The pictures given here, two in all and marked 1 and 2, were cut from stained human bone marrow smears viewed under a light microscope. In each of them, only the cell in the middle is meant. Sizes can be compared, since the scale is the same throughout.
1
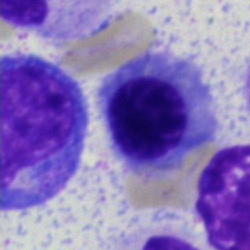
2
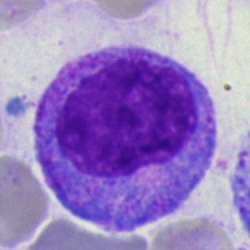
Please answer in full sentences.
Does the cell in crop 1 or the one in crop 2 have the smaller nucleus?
The nucleus in crop 1 is smaller; the one in crop 2 has about 2.5 times its area.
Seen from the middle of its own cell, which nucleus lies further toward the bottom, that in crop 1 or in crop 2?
Seen within its cell, the nucleus in crop 1 lies further toward the bottom.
